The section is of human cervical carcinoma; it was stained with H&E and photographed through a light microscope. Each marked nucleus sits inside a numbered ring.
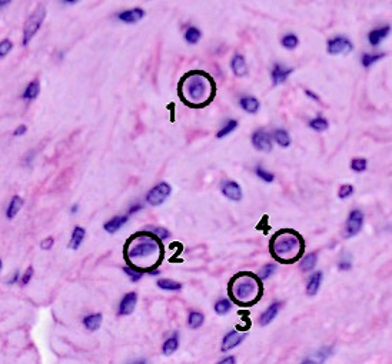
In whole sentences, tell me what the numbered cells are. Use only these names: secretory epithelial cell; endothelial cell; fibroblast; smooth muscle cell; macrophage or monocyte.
Cell 1 is a smooth muscle cell, cell 2 is a fibroblast, cell 3 is a smooth muscle cell and cell 4 is a smooth muscle cell.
